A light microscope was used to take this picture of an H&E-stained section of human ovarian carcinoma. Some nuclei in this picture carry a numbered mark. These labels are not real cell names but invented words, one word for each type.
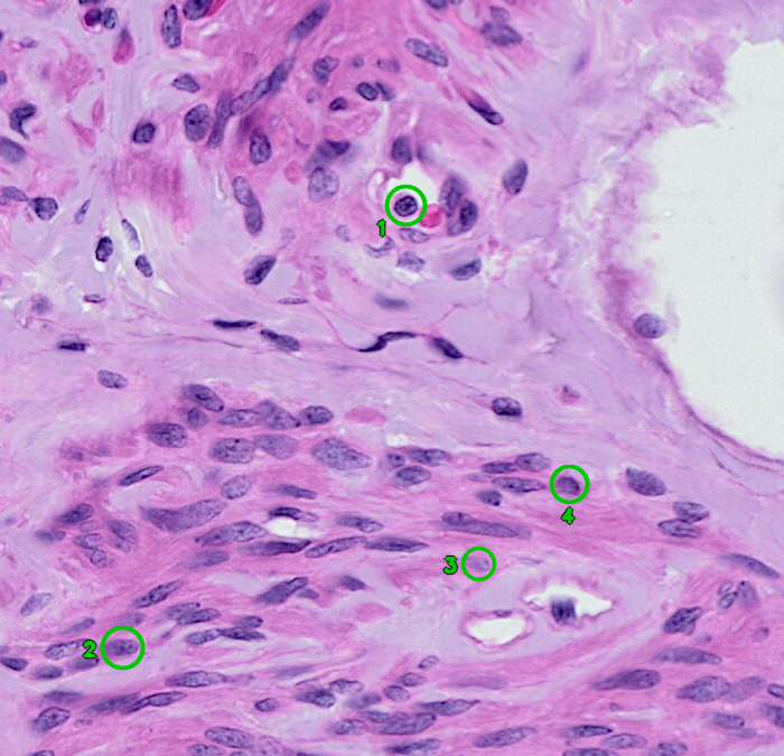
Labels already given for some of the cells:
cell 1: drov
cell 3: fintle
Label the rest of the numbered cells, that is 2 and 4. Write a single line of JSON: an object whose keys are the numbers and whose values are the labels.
{"2": "fintle", "4": "fintle"}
